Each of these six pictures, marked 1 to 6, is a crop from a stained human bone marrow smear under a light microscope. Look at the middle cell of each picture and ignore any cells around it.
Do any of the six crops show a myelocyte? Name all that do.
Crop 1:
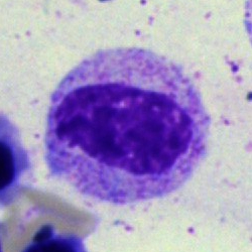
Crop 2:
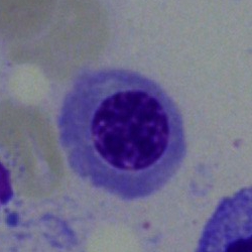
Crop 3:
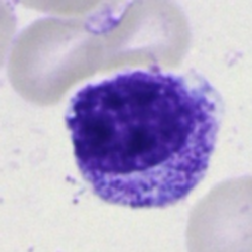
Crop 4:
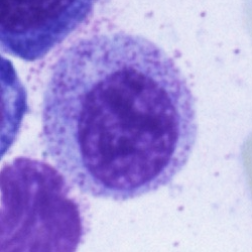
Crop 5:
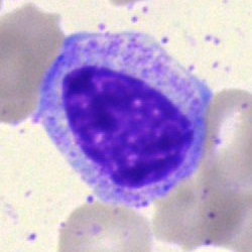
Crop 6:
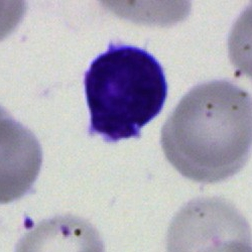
1, 3, 4, 5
